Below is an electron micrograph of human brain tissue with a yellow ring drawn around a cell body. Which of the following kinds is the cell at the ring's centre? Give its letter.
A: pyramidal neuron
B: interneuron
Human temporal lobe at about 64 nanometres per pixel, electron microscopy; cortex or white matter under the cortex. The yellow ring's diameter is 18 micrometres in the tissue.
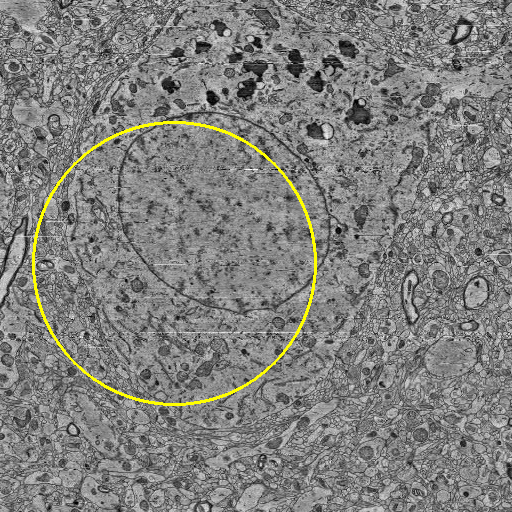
A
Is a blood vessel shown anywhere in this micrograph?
No.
